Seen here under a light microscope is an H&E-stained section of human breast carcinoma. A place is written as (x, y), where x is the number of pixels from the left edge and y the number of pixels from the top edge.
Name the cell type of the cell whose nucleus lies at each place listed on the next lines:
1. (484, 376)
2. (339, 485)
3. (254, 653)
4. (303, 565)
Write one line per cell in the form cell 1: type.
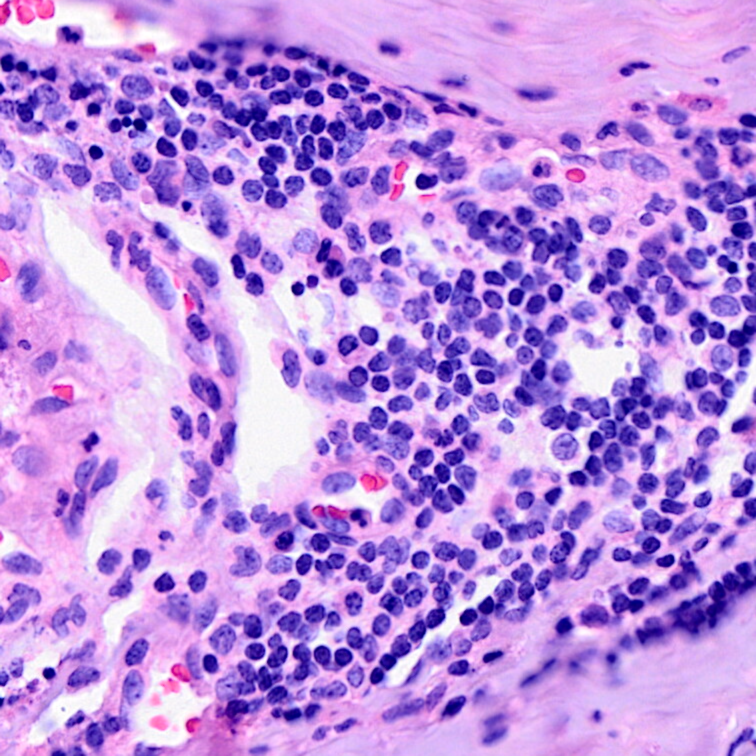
cell 1: lymphocyte
cell 2: endothelial cell
cell 3: lymphocyte
cell 4: lymphocyte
